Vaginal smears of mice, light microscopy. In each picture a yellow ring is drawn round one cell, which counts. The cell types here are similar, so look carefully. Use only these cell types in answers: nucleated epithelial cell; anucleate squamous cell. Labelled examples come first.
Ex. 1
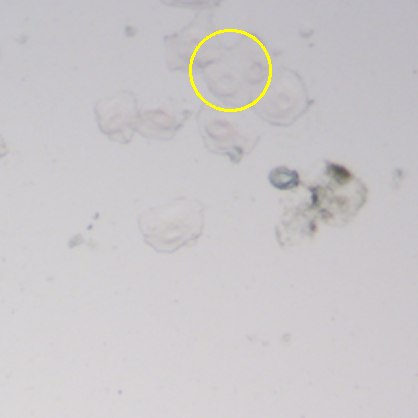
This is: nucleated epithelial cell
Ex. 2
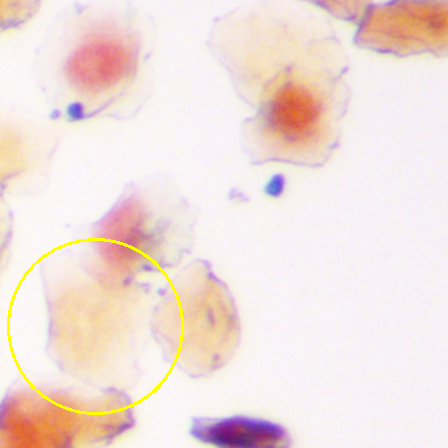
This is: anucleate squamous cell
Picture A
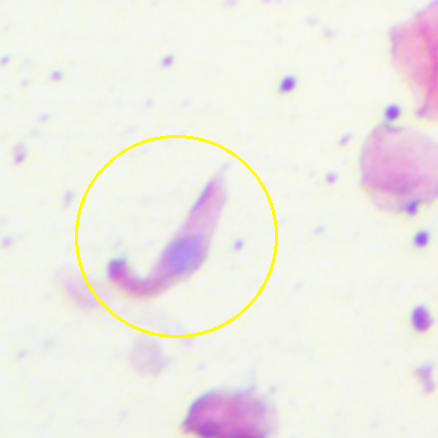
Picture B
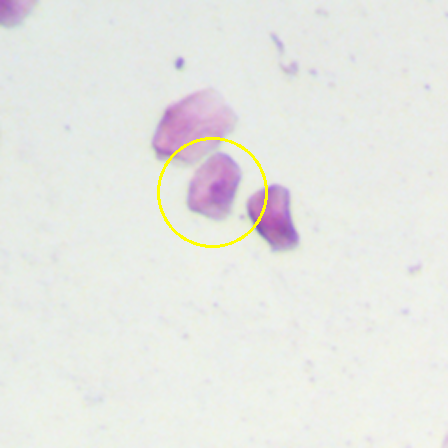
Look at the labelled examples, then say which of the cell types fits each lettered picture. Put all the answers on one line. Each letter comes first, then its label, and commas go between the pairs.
A nucleated epithelial cell, B nucleated epithelial cell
